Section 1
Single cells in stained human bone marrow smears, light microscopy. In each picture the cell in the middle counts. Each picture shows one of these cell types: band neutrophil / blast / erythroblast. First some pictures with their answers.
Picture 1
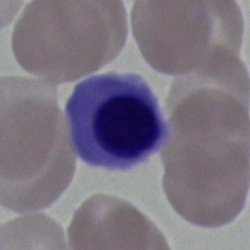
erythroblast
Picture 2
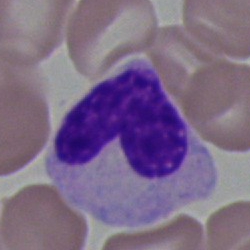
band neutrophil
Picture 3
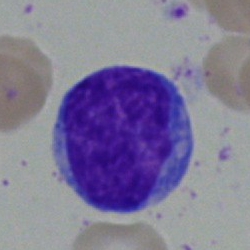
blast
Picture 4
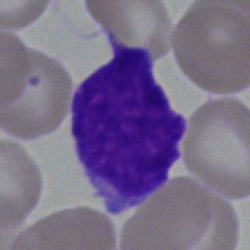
blast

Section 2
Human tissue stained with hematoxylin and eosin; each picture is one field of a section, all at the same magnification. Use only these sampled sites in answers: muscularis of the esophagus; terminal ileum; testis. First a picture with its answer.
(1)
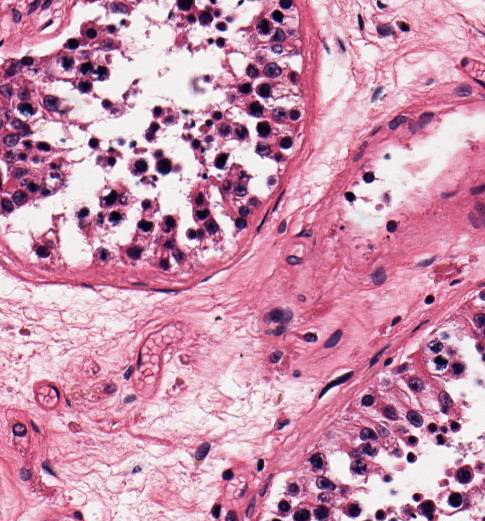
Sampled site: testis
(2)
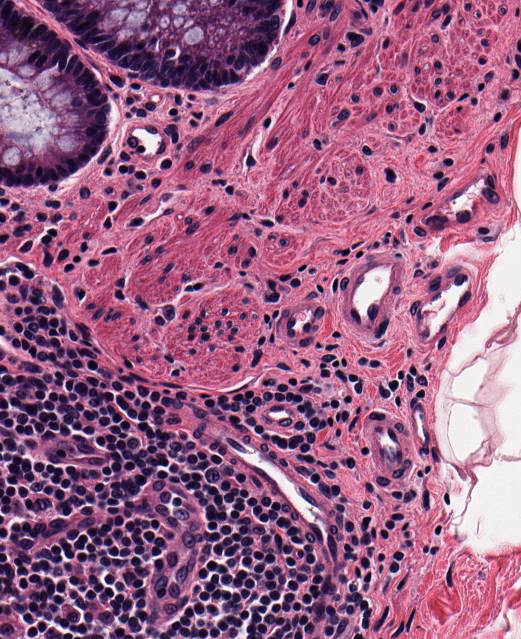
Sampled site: terminal ileum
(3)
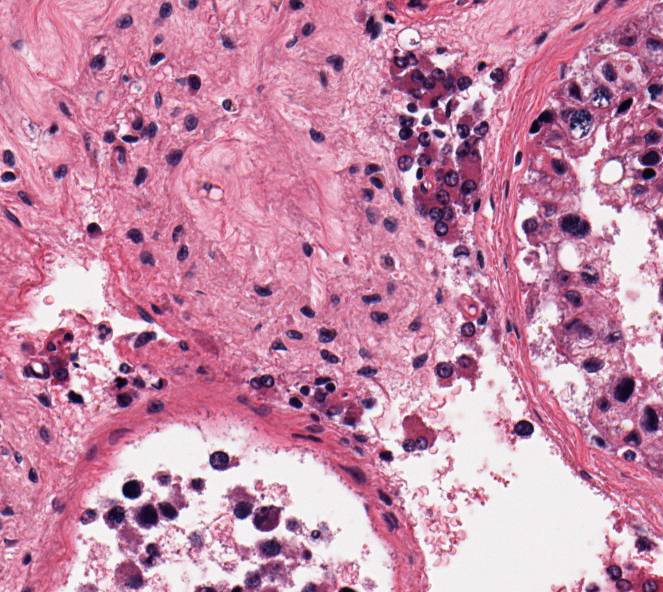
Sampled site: testis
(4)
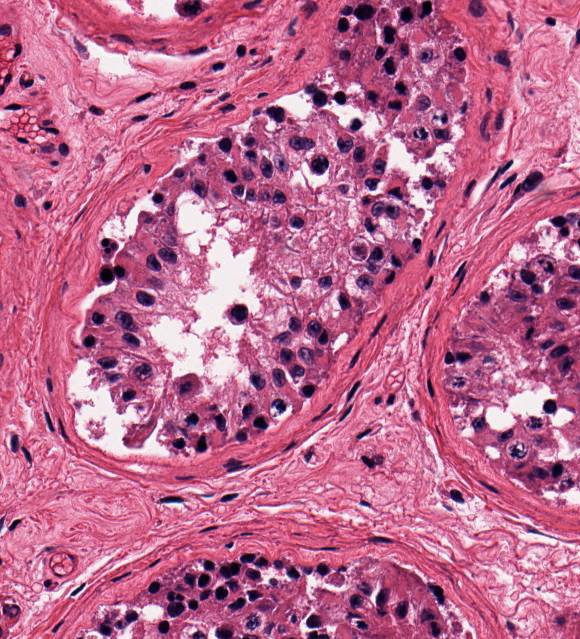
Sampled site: testis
